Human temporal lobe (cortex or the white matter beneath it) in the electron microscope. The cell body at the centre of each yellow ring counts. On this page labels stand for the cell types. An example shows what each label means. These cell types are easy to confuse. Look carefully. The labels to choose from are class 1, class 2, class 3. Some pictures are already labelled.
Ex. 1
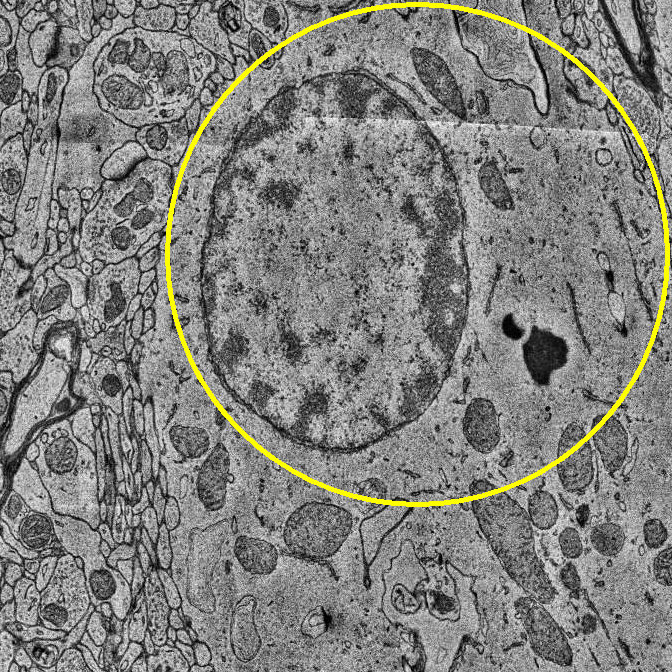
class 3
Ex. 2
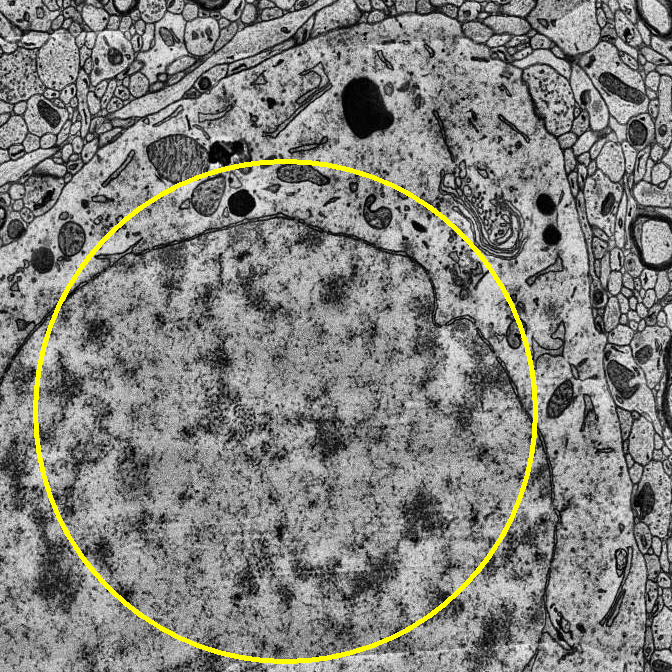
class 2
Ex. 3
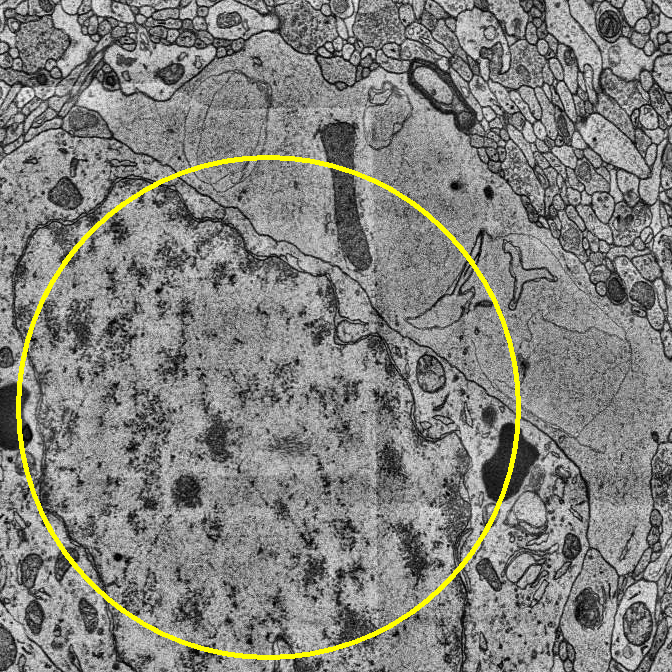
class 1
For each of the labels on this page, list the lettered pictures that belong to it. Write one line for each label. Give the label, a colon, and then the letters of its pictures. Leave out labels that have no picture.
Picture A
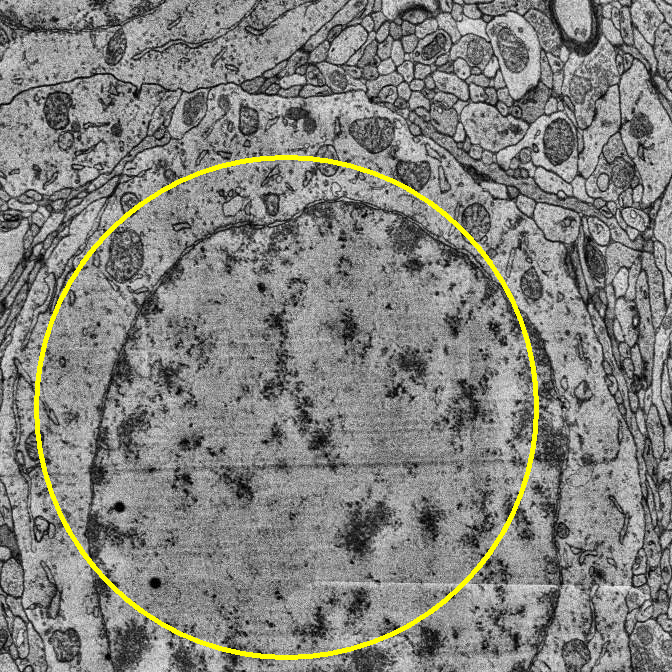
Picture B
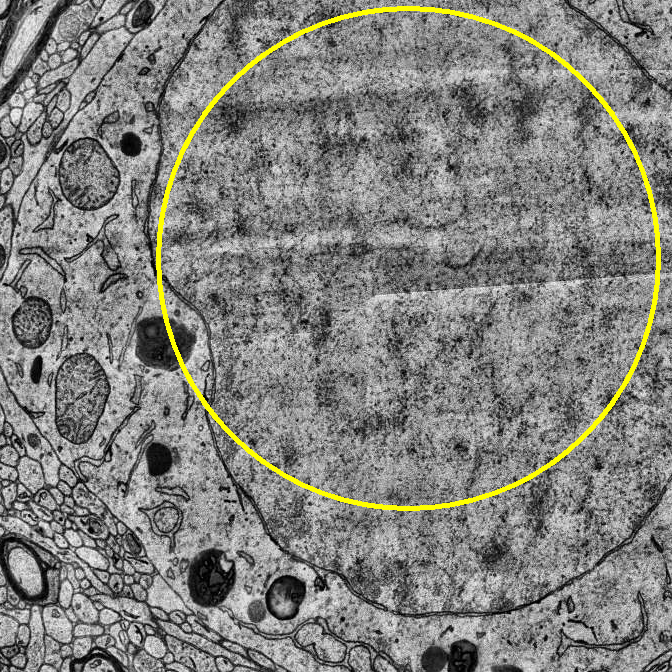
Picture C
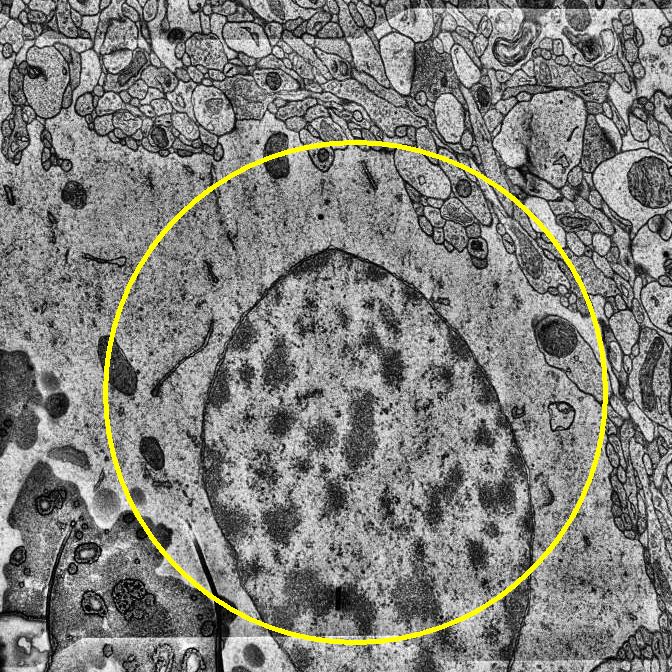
class 2: A, B
class 3: C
